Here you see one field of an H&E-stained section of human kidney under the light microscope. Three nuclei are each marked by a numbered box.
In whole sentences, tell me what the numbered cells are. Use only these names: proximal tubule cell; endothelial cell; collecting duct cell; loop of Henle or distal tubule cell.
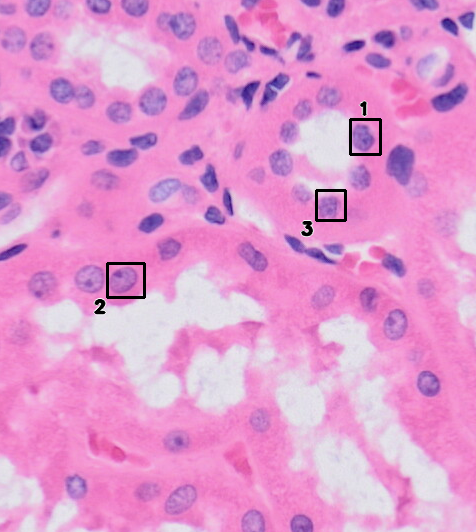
Cells 1 and 3 are loop of Henle or distal tubule cells. Cell 2 is a proximal tubule cell.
